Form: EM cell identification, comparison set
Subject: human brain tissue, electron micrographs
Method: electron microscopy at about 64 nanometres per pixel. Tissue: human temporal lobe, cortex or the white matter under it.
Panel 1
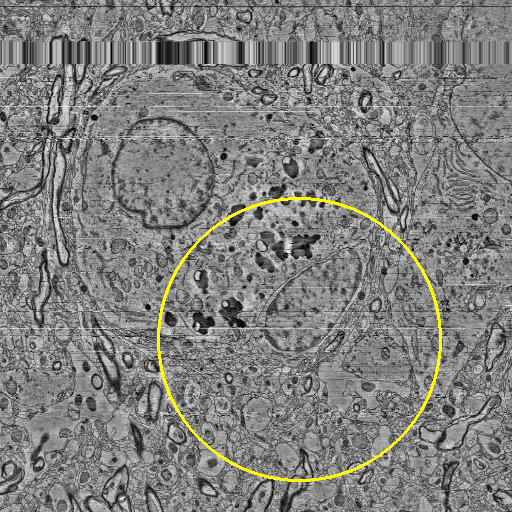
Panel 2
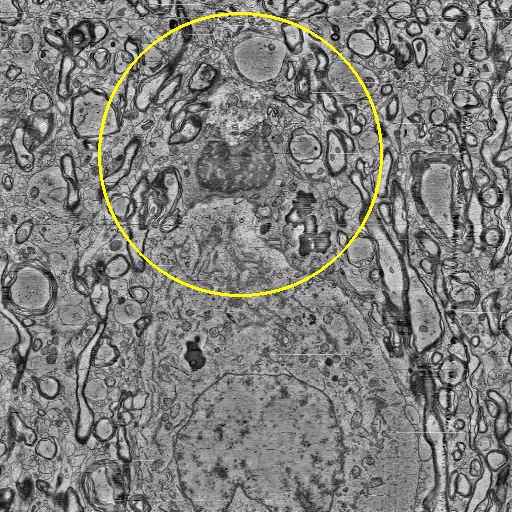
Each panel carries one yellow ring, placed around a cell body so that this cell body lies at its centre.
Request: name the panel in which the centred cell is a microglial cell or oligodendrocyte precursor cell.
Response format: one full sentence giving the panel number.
Panel 1 has it at the centre of its ring.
